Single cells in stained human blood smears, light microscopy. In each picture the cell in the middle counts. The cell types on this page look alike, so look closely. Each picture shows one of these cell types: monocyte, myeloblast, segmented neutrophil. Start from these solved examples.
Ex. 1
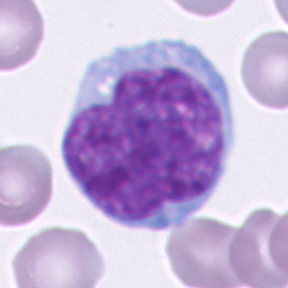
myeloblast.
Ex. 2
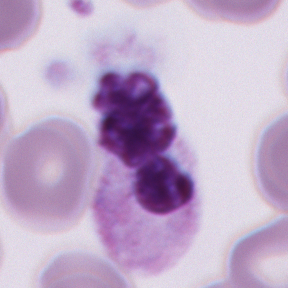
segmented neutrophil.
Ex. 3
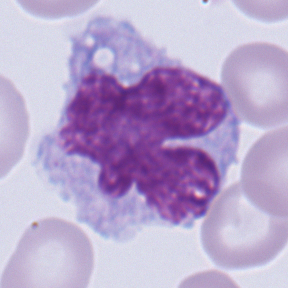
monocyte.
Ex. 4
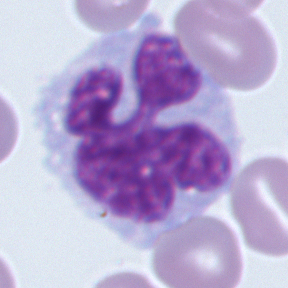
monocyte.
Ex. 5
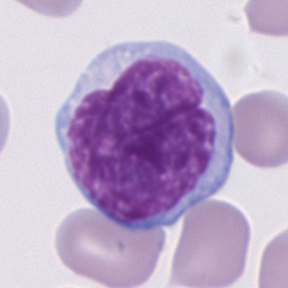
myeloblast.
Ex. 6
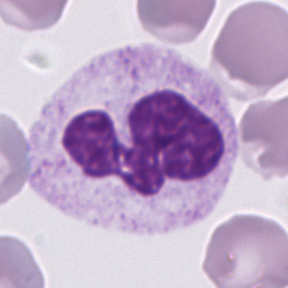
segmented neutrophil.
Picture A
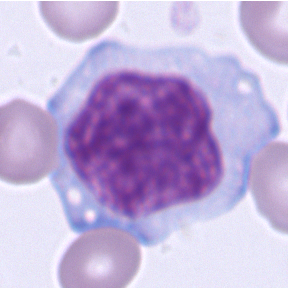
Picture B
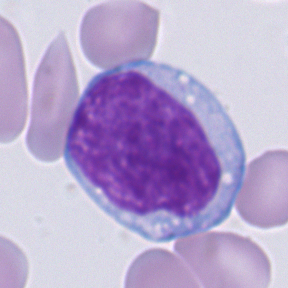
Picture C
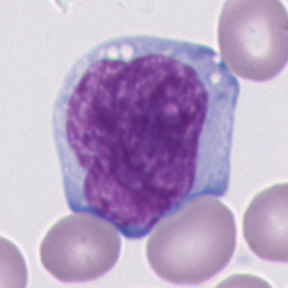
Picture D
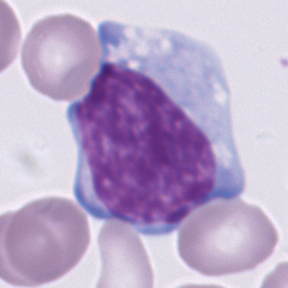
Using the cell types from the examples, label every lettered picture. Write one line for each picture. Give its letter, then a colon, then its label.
A: myeloblast.
B: myeloblast.
C: myeloblast.
D: myeloblast.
